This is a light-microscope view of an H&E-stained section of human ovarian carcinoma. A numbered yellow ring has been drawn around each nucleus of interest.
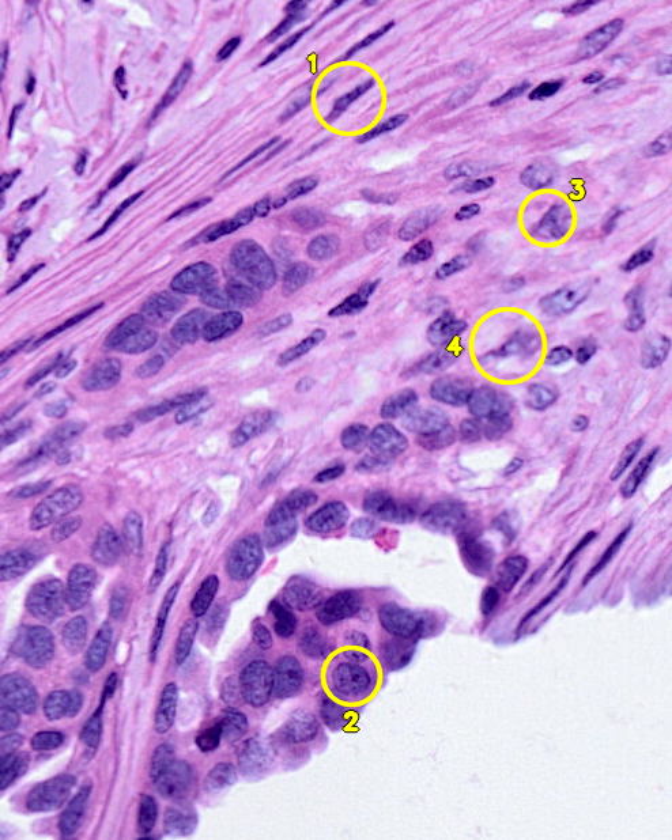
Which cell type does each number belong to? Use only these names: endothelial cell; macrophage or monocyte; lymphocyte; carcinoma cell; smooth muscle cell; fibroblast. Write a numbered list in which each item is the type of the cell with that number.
1. fibroblast
2. carcinoma cell
3. fibroblast
4. fibroblast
